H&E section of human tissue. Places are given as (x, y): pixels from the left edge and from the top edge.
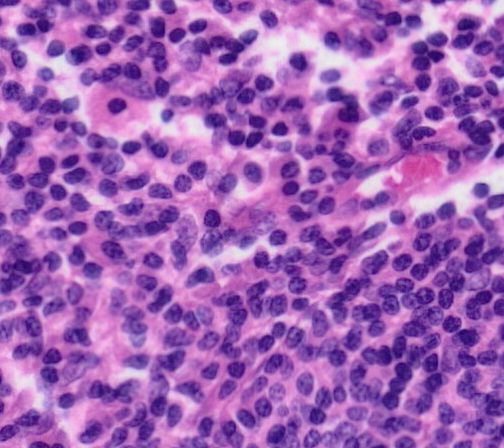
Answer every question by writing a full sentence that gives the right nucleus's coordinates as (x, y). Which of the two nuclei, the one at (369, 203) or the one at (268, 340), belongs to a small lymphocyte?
The nucleus found at (268, 340) belongs to a small lymphocyte.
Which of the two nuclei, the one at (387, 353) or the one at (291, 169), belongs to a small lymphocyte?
That would be the nucleus at (387, 353); it belongs to a small lymphocyte.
